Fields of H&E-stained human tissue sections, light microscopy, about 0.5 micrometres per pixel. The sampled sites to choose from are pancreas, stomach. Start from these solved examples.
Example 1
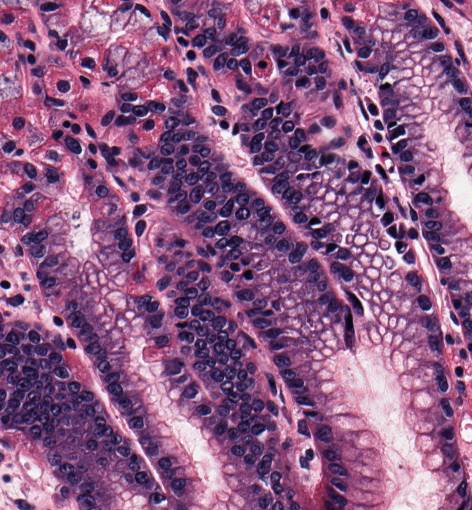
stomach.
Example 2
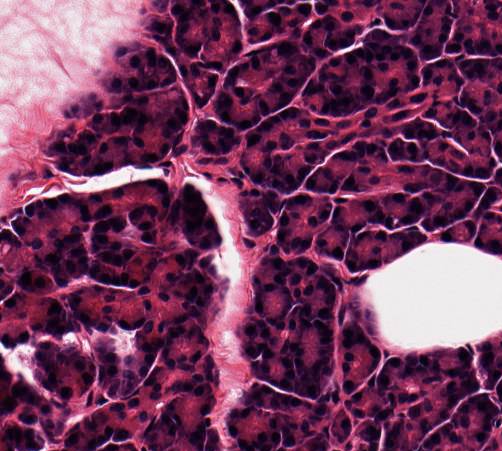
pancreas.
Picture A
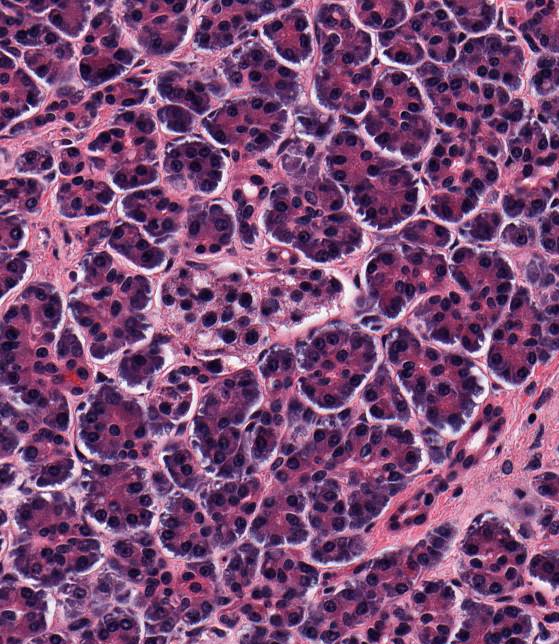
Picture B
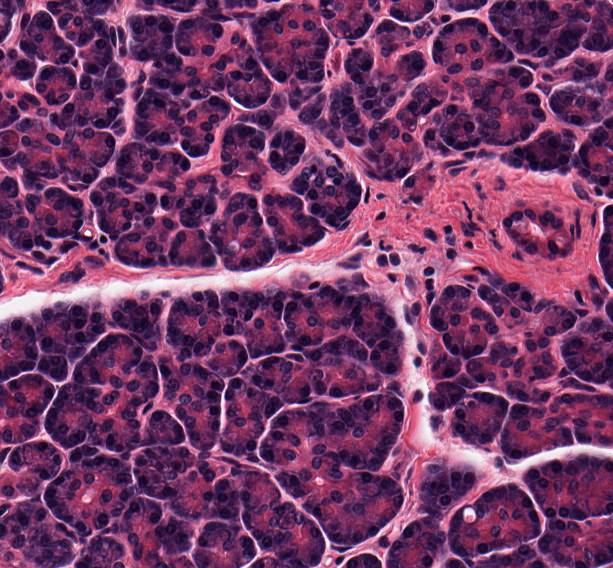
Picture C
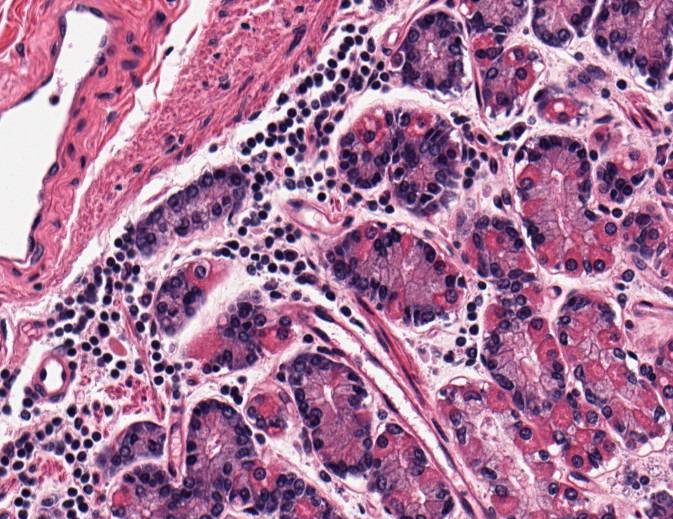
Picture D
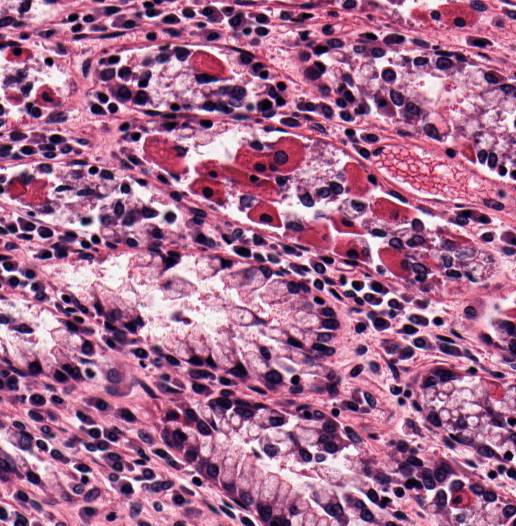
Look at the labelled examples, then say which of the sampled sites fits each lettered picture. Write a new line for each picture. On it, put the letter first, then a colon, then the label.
A: pancreas.
B: pancreas.
C: stomach.
D: stomach.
